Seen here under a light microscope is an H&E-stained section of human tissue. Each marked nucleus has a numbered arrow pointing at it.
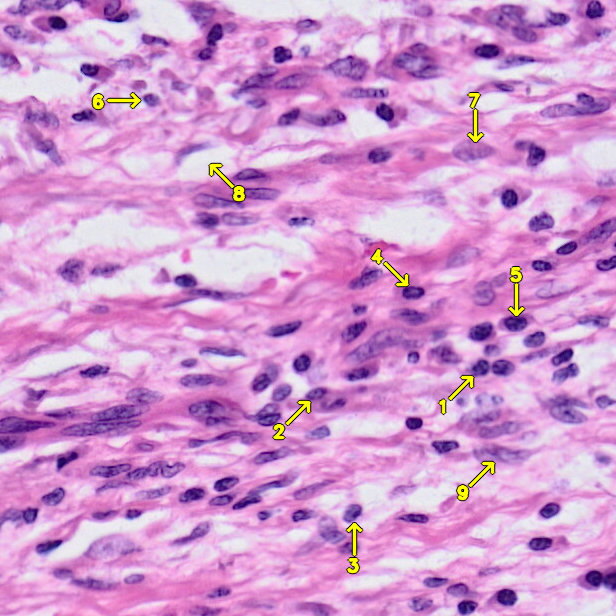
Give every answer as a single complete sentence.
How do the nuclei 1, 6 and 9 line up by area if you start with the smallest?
The order from the smallest nucleus to the largest is 6, 1, 9.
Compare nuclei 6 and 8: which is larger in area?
At about 1.5 times the area of nucleus 6, nucleus 8 is the larger of the two.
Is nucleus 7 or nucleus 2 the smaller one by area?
Number 2 is smaller, since number 7 takes up about 2.5 times as much area.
